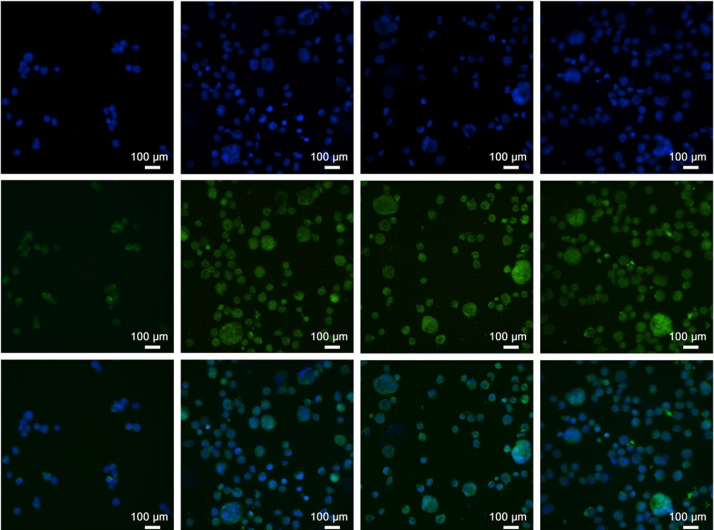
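In the leftmost column the cells are sparse and the green fluorescence is faint, while in the other columns the cells are more numerous and show brighter, finely granular green fluorescence in the cytoplasm. Some cells are much larger than their neighbours, with large blue nuclei and strong green fluorescence.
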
